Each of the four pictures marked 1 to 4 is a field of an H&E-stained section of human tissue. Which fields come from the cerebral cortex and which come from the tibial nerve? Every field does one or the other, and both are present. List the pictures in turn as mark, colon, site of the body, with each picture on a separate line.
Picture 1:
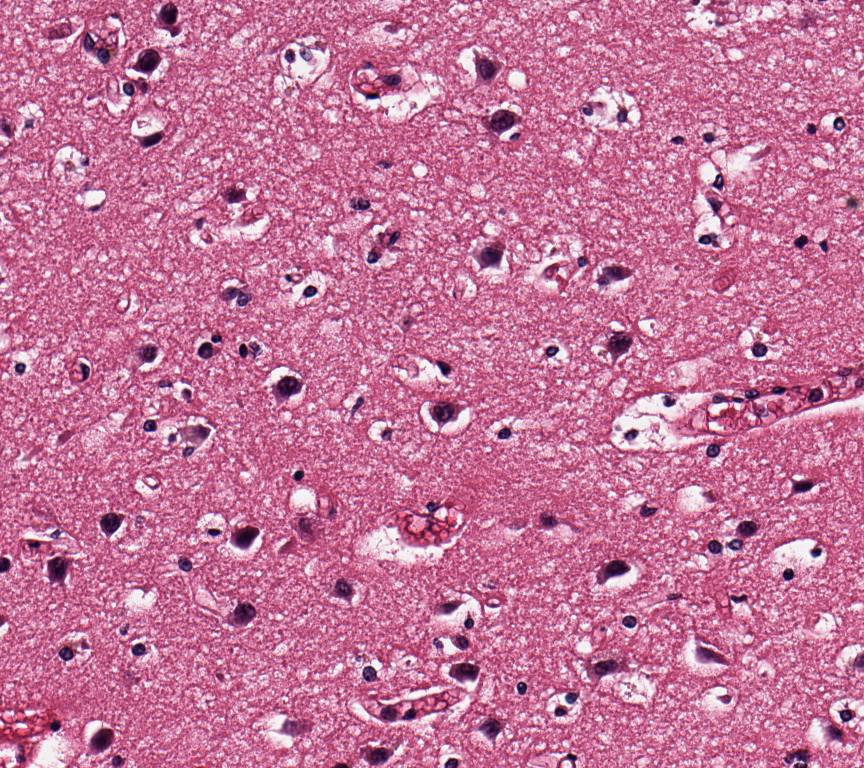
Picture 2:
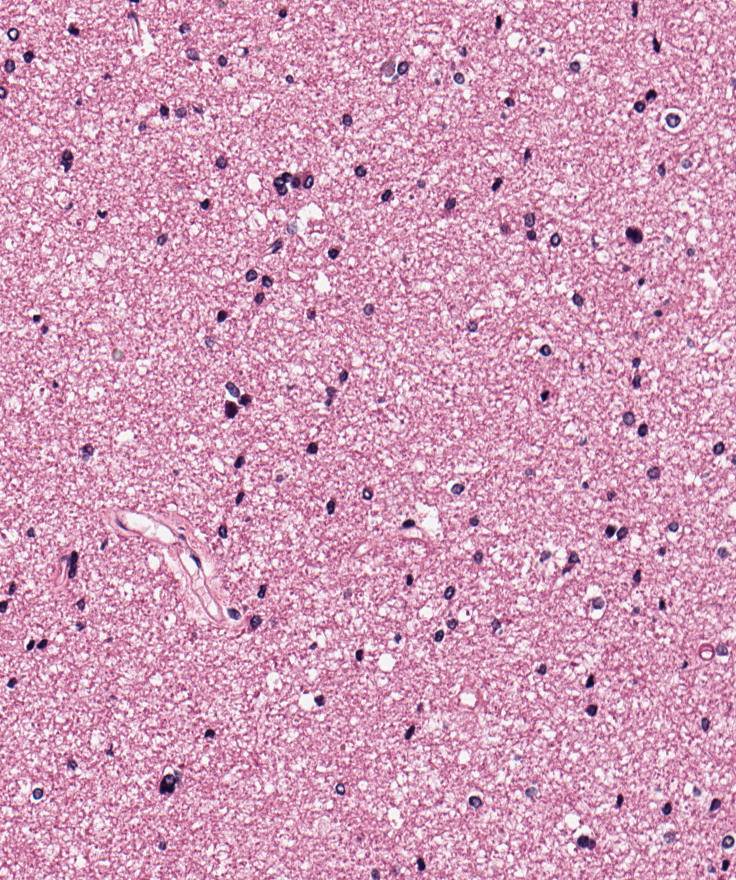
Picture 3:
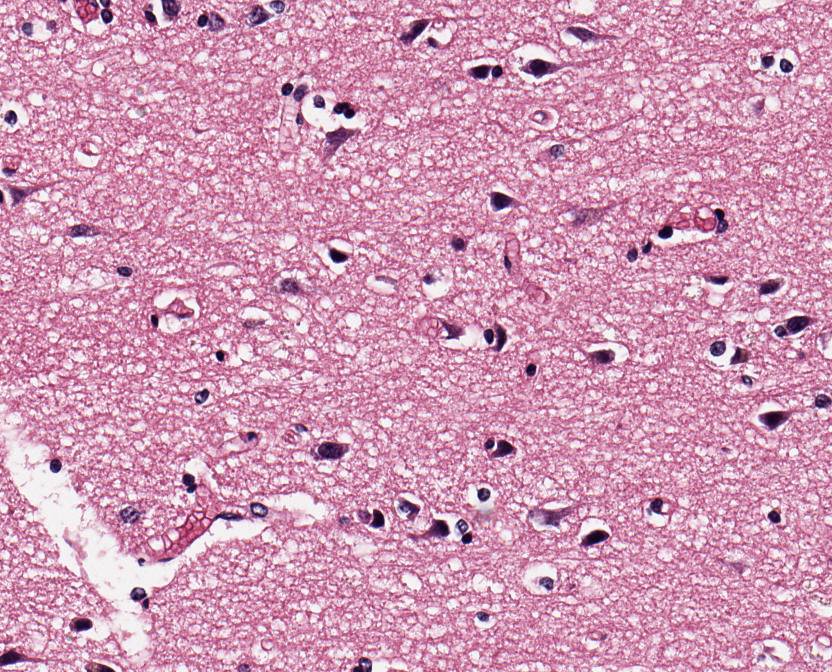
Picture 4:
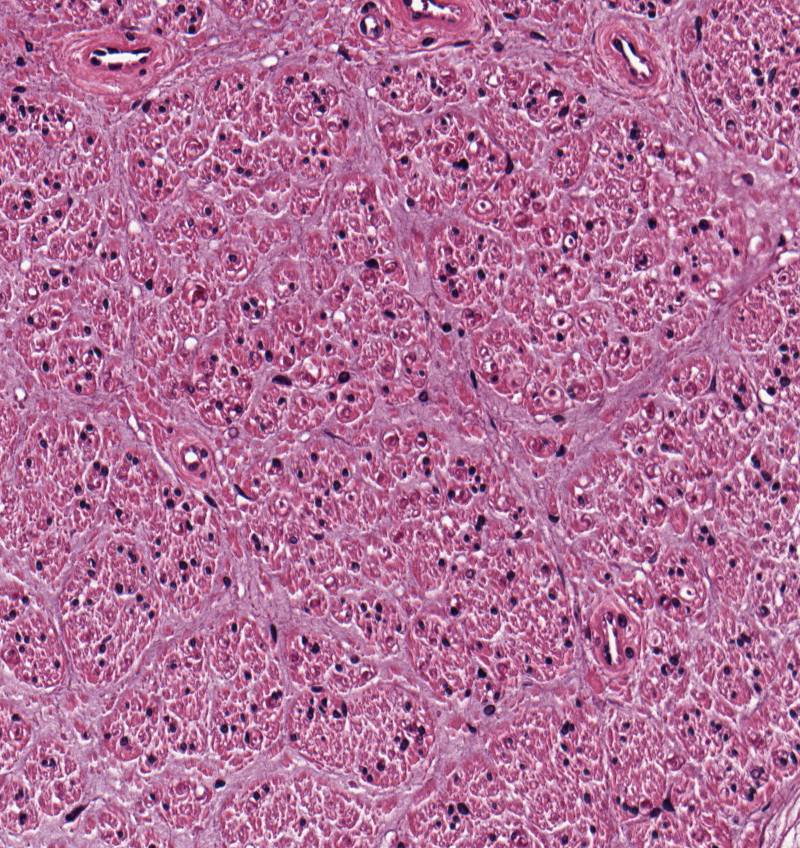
1: cerebral cortex
2: cerebral cortex
3: cerebral cortex
4: tibial nerve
